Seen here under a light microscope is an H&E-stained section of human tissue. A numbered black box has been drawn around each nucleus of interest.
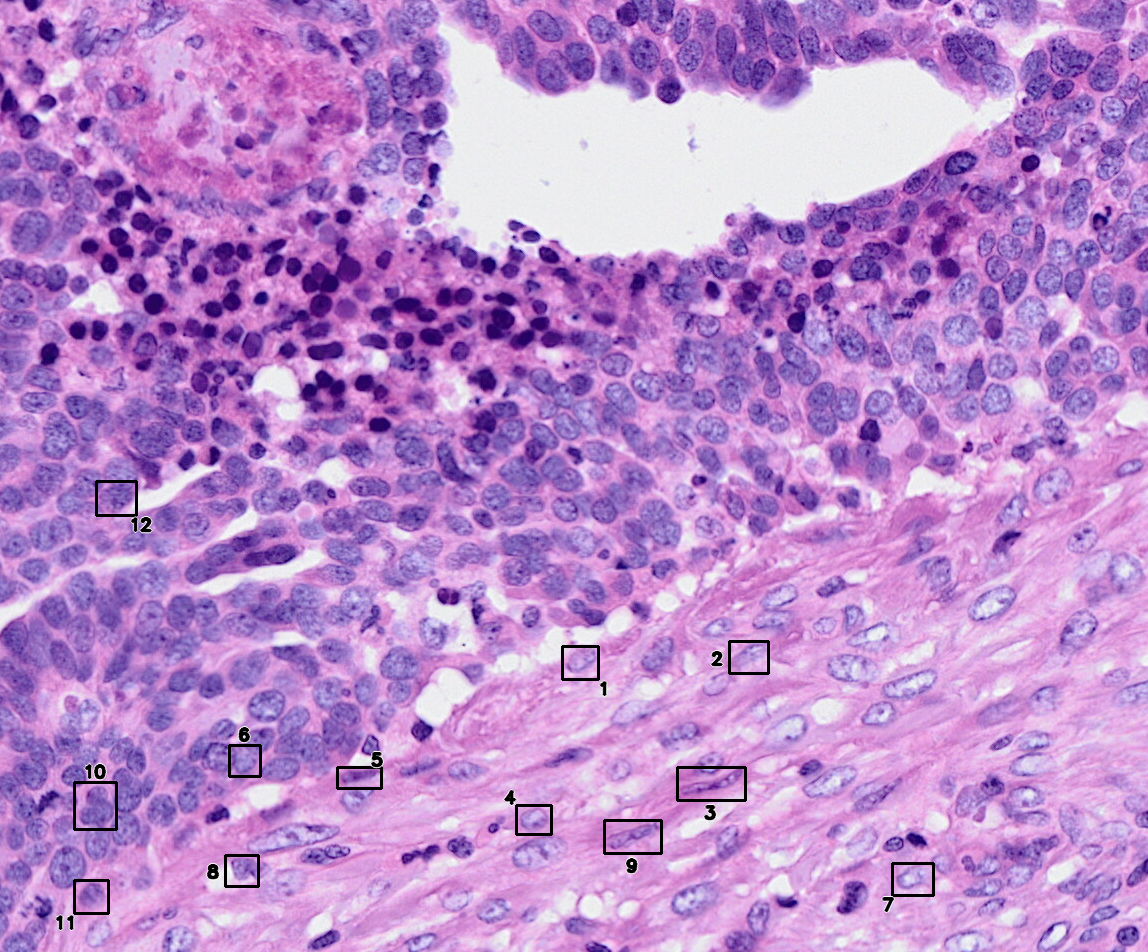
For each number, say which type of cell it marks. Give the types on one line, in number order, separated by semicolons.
fibroblast; fibroblast; fibroblast; fibroblast; fibroblast; carcinoma cell; fibroblast; macrophage or monocyte; fibroblast; carcinoma cell; macrophage or monocyte; carcinoma cell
